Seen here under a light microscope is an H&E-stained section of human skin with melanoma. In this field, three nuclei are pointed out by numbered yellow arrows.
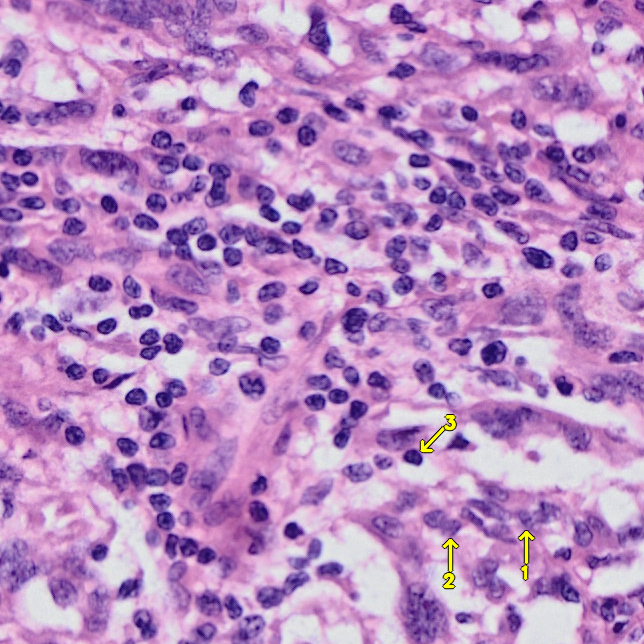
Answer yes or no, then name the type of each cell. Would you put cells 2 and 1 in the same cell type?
Yes, both are melanoma cells.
